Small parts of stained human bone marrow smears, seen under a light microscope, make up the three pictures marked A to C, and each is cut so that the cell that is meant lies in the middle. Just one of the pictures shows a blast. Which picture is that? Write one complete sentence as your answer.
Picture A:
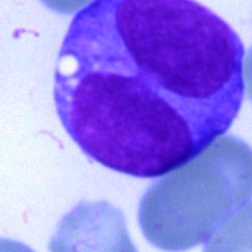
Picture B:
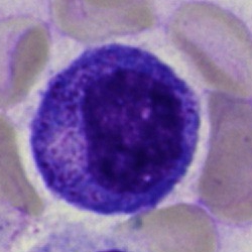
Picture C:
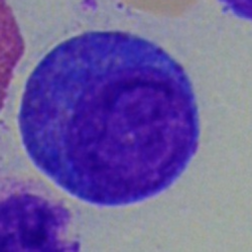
The picture with the blast is A.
